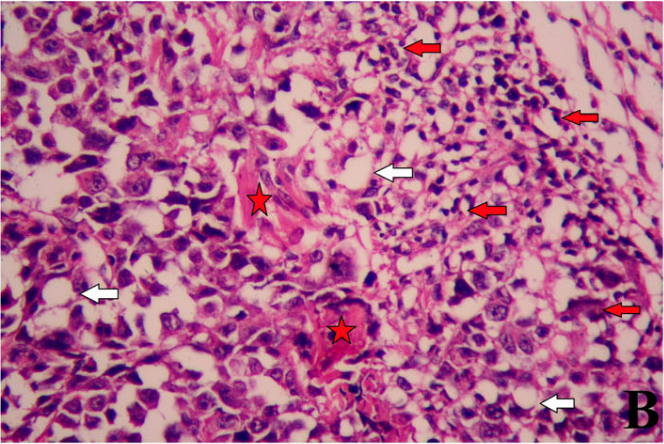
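This tumor section shows tumor cells loosened by many clear, empty vacuoles lying between them. The cells have round to oval purple nuclei and pale cytoplasm, and many stand apart rather than in tight sheets. Unstained round spaces of varying size are scattered throughout the field. Pink, fibrous strands run between the cells. Overall the tissue looks looser and less compact than a dense sheet of tumor cells.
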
